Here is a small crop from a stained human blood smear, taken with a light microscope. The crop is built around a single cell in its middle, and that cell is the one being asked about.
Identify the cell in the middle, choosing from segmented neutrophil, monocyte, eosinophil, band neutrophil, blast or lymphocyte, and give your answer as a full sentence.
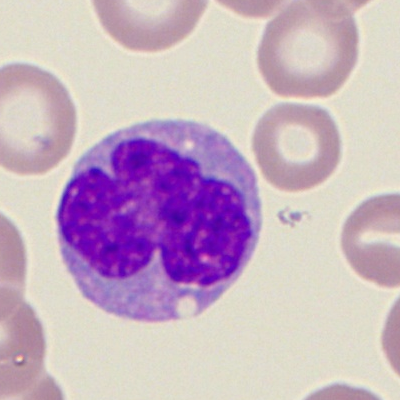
The centrally located cell in the crop is a monocyte.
